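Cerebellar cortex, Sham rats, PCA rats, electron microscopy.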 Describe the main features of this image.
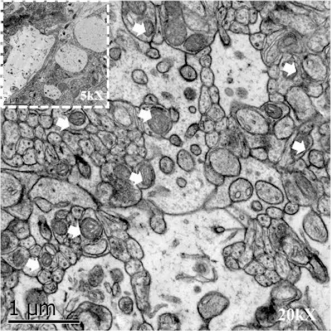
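The molecular layer here is packed with many small round profiles bounded by dark membranes, separated by pale, empty-looking spaces. Within many of these profiles lie smaller organelles with internal membranes, pointed at by white arrows.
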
